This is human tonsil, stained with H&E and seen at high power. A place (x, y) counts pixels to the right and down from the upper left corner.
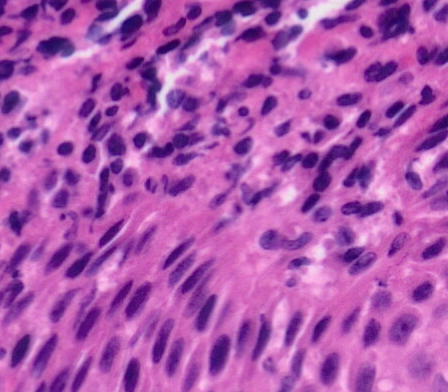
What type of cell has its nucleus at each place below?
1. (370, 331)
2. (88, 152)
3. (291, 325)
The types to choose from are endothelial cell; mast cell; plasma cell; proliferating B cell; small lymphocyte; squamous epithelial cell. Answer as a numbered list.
1. squamous epithelial cell
2. plasma cell
3. squamous epithelial cell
